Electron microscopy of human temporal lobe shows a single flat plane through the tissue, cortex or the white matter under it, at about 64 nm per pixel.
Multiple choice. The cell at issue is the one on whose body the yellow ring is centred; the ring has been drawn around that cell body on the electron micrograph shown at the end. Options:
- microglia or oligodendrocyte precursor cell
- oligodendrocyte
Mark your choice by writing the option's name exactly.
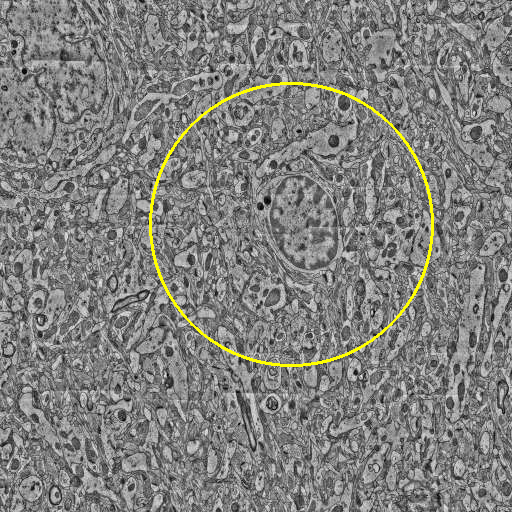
microglia or oligodendrocyte precursor cell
